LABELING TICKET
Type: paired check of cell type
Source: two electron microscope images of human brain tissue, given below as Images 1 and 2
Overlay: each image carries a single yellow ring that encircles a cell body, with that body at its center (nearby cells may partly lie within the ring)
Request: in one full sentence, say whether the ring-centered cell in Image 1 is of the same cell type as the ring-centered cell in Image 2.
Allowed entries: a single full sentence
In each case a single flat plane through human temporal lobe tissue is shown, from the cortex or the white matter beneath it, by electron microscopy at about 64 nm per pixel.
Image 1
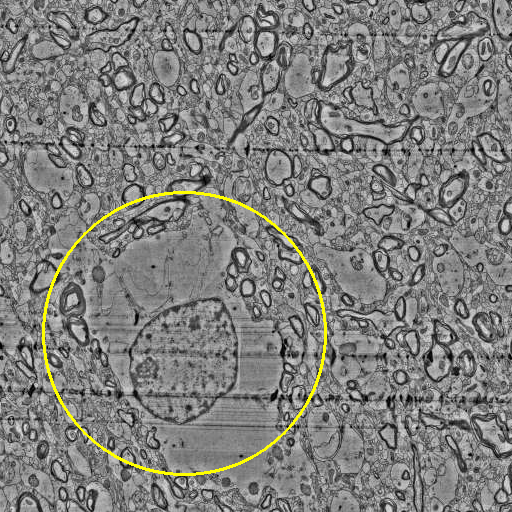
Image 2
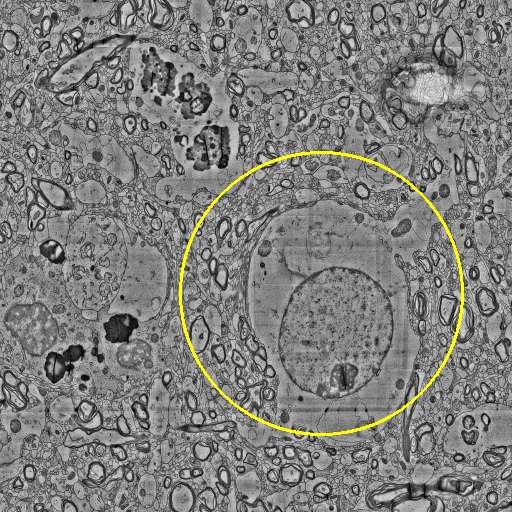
Yes, the cells centered in the rings of Image 1 and Image 2 share one type.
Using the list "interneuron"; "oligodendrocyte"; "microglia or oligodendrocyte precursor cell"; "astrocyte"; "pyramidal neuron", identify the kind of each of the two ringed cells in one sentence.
The cell at the ring centre is an astrocyte in both pictures.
